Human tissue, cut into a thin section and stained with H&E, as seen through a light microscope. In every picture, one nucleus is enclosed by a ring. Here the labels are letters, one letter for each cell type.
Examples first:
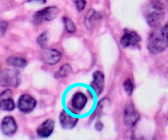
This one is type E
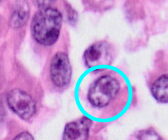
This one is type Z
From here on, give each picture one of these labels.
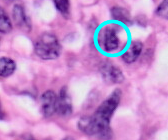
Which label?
type Z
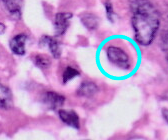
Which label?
type Z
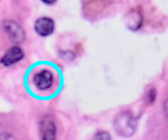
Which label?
type E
